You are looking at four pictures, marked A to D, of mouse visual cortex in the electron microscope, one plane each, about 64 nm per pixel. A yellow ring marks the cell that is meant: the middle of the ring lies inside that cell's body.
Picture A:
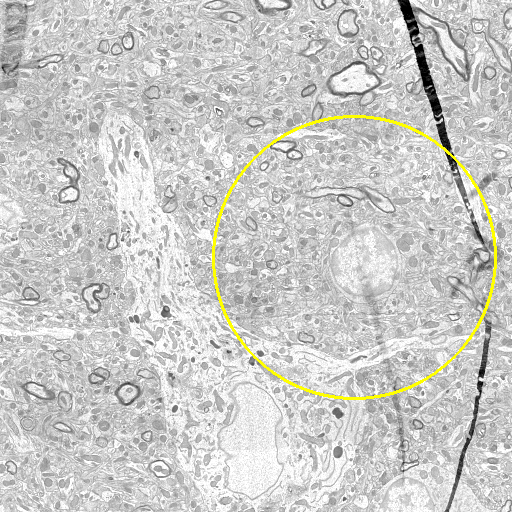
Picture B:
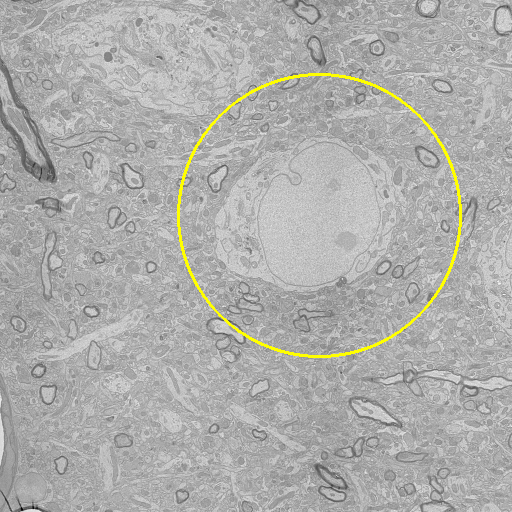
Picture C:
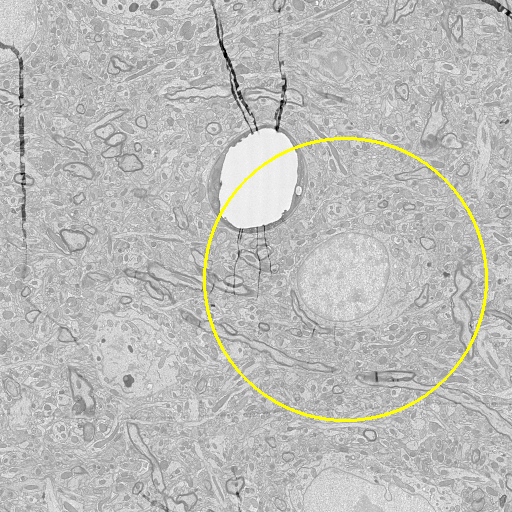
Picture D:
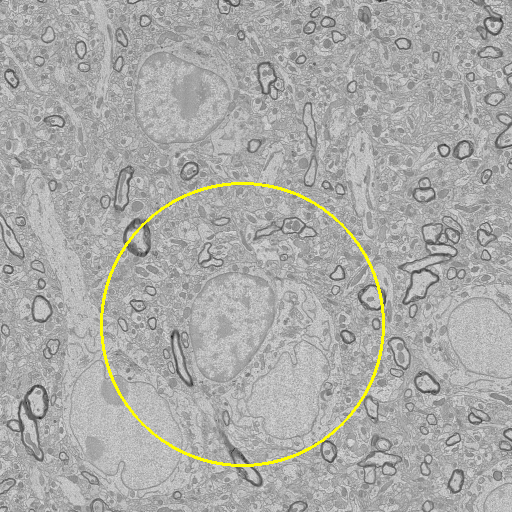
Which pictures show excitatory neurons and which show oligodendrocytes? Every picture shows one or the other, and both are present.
Picture B shows an excitatory neuron; pictures A, C and D show oligodendrocytes.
